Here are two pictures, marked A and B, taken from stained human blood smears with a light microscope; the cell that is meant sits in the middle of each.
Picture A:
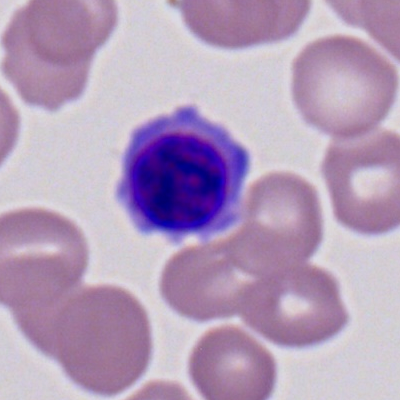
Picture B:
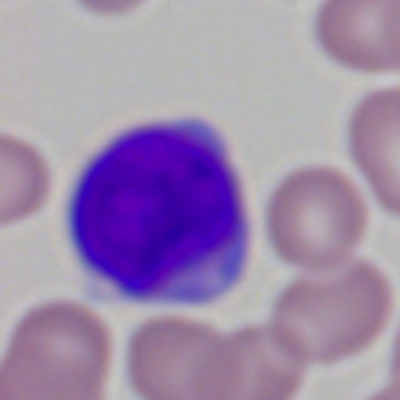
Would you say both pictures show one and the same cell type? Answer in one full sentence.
No, the types are not the same, since picture A shows an erythroblast and picture B a myeloblast.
